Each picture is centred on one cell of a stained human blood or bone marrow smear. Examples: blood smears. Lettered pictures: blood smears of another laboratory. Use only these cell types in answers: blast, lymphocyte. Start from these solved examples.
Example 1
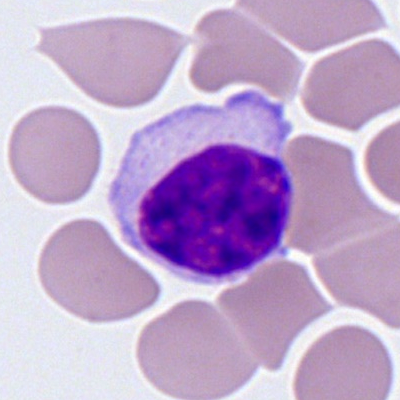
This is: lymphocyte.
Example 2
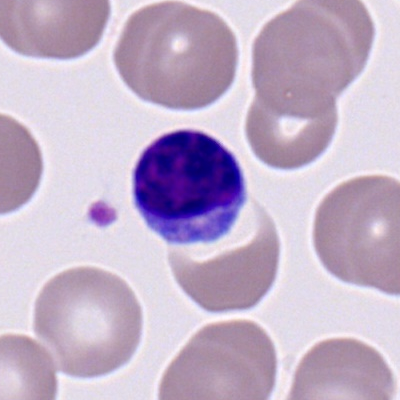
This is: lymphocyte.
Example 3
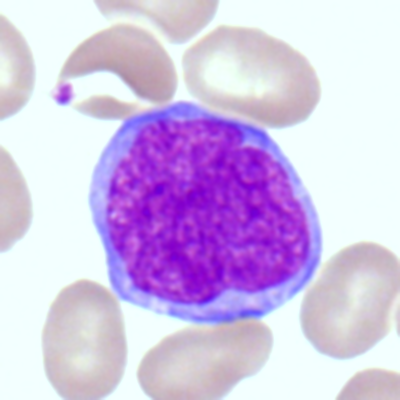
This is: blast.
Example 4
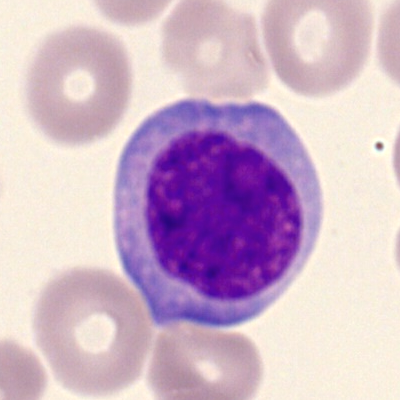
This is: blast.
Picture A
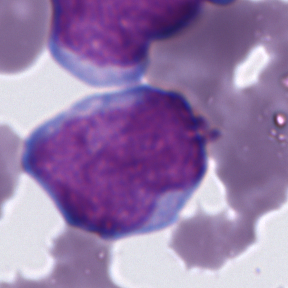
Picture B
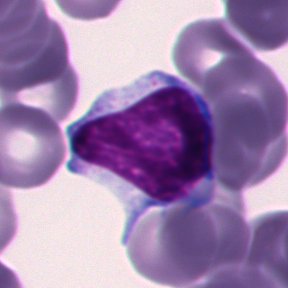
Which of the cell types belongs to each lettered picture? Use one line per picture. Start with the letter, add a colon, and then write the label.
A: blast.
B: lymphocyte.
